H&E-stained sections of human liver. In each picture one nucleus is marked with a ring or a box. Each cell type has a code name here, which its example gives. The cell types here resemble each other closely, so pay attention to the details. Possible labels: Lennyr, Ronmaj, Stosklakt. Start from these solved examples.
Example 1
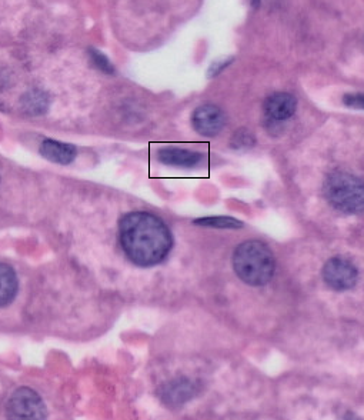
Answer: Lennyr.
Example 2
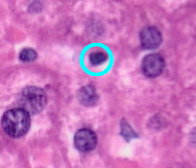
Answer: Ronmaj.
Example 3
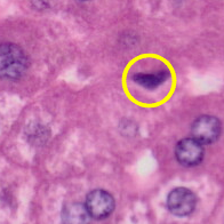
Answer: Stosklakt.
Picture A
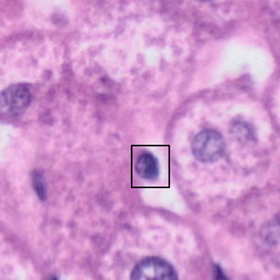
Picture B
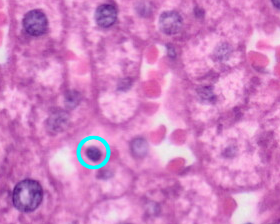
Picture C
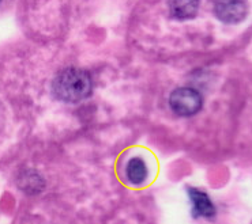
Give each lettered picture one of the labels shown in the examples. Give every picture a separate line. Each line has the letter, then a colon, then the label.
A: Ronmaj.
B: Ronmaj.
C: Ronmaj.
